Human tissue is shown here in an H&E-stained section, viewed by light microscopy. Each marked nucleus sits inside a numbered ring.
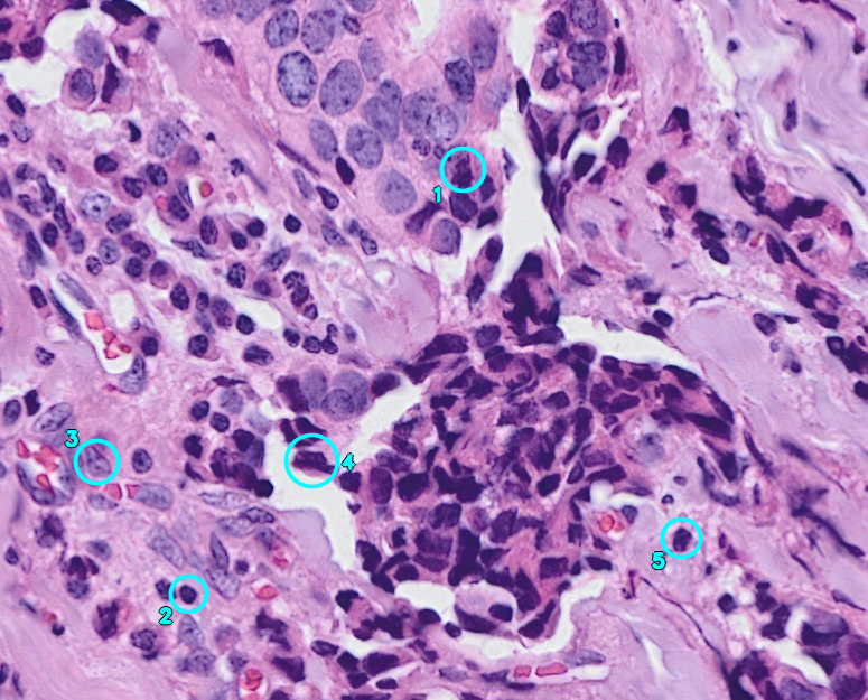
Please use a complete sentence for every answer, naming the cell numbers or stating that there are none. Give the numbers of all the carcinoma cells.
Identification: the cells with numbers 1 and 4 are carcinoma cells.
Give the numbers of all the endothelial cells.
Only cell 3 should be marked as an endothelial cell.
